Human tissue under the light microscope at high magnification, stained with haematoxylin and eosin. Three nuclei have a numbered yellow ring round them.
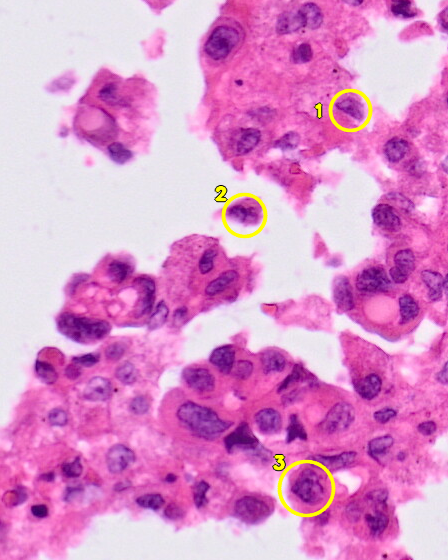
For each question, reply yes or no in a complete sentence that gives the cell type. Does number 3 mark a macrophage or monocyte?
No, the cell marked 3 is a carcinoma cell rather than a macrophage or monocyte.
